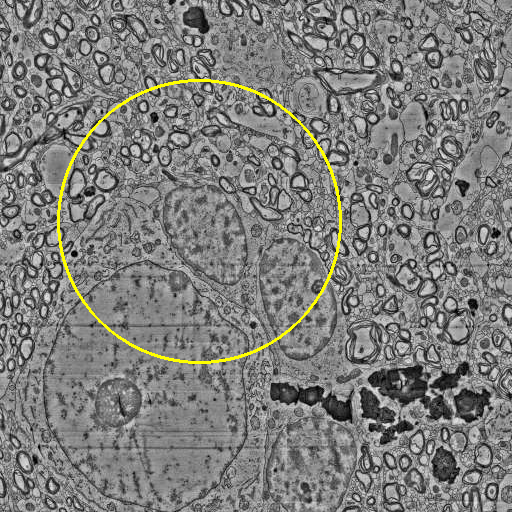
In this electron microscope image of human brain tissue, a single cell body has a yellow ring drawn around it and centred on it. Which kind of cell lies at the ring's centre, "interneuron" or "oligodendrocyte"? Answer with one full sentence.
It is an oligodendrocyte whose cell body lies at the centre of the yellow ring here.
